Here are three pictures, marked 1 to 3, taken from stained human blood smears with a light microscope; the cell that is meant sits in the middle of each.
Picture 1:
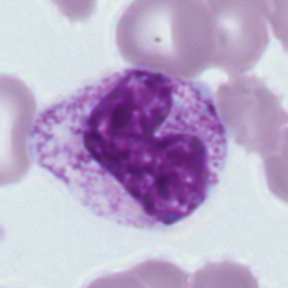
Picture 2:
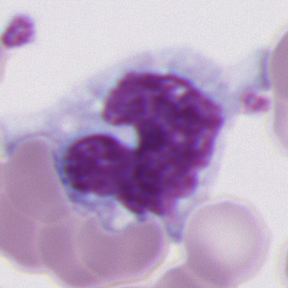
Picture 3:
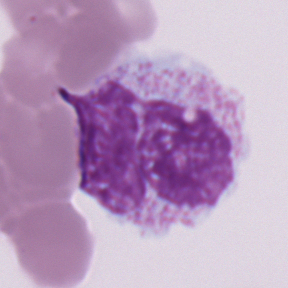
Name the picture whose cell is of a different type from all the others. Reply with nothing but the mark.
2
